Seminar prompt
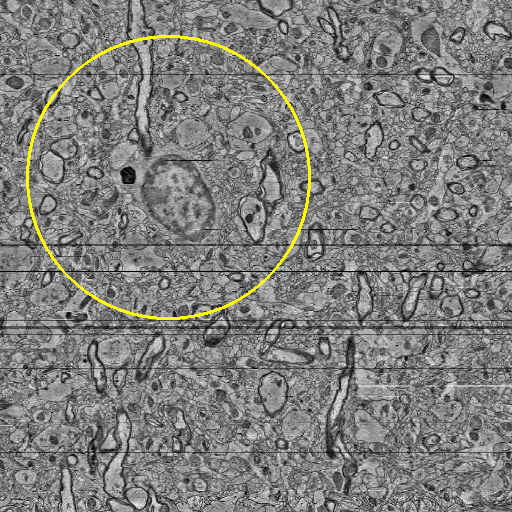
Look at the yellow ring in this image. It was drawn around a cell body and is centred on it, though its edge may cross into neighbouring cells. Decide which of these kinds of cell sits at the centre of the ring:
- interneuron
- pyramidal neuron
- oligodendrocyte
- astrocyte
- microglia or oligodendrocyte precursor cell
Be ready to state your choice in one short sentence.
The kind of cell at the ring's centre is an oligodendrocyte.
